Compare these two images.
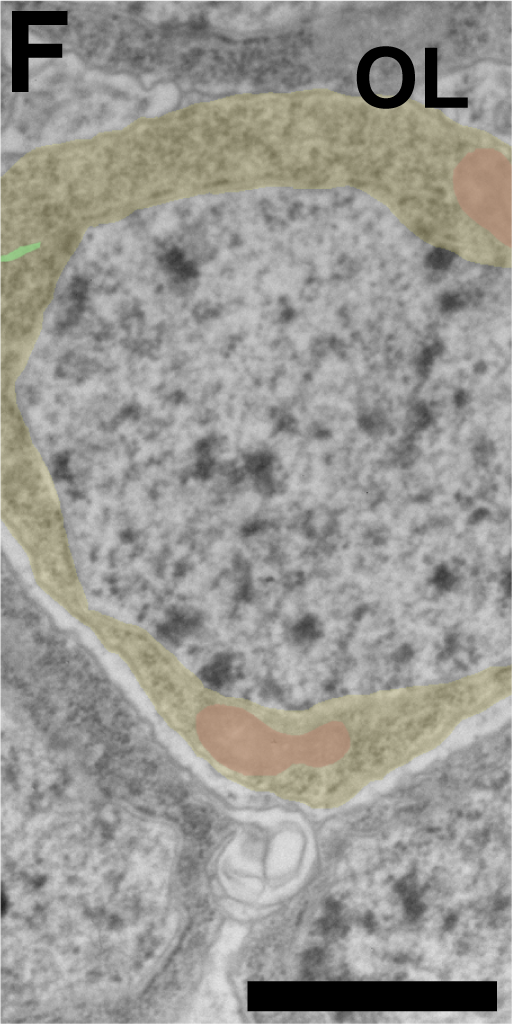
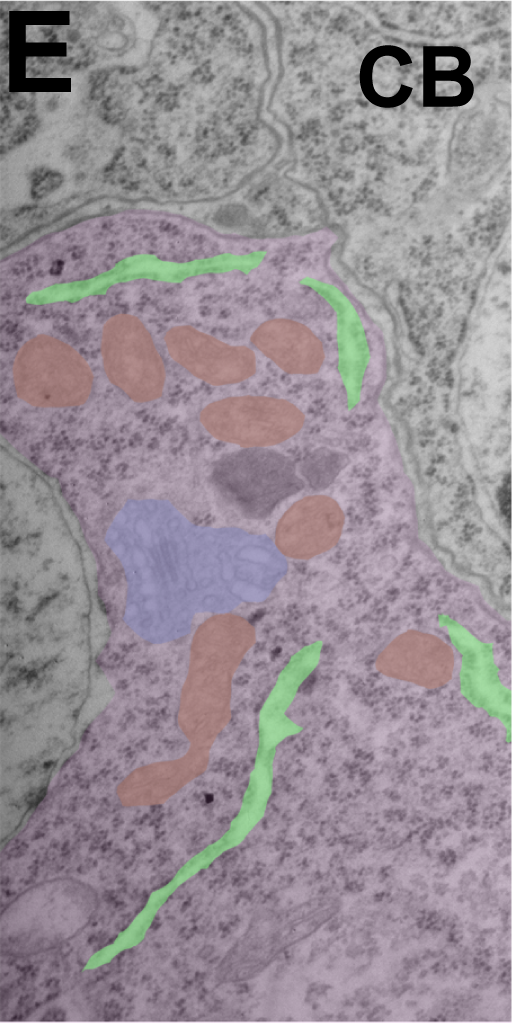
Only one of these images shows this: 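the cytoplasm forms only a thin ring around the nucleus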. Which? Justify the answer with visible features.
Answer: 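First image: a narrow band of cytoplasm surrounds a large nucleus. Second image: a wide expanse of cytoplasm packed with many organelles. So: the first image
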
